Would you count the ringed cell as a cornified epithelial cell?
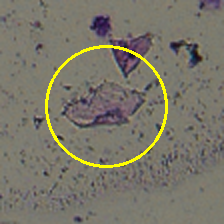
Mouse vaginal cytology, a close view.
Yes, I would count it as a cornified epithelial cell.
